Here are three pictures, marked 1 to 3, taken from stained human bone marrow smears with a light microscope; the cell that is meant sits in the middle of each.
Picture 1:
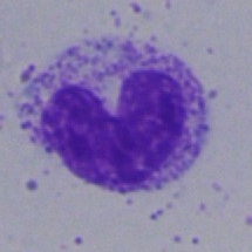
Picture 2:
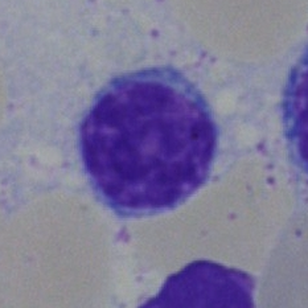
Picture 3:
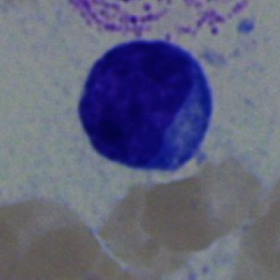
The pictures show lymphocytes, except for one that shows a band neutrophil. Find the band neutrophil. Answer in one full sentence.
The band neutrophil is the one in picture 1.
